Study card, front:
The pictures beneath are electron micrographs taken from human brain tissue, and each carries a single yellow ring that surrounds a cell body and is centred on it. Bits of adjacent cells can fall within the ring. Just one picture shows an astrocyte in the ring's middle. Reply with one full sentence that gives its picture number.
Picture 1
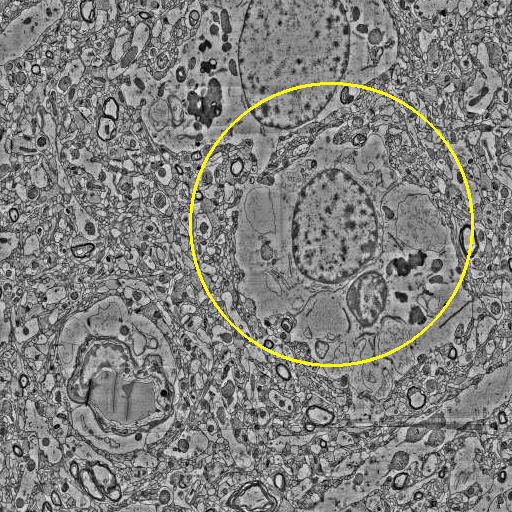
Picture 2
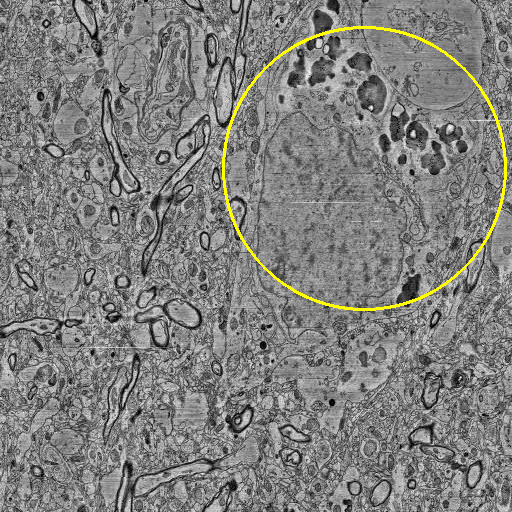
Picture 1 is the one whose ring has the requested cell at its centre.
